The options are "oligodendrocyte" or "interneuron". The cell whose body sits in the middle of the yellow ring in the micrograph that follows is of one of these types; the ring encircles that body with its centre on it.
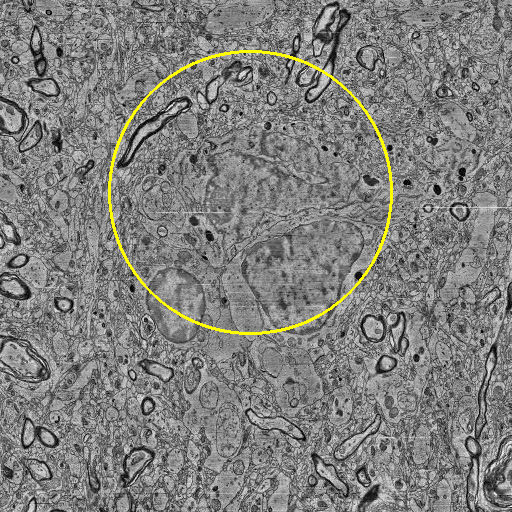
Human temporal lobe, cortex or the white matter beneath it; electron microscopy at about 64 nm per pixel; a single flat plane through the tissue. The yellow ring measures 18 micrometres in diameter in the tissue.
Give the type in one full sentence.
Going by the micrograph, the cell centred in the yellow ring is an interneuron.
